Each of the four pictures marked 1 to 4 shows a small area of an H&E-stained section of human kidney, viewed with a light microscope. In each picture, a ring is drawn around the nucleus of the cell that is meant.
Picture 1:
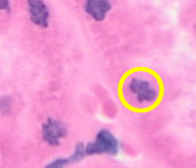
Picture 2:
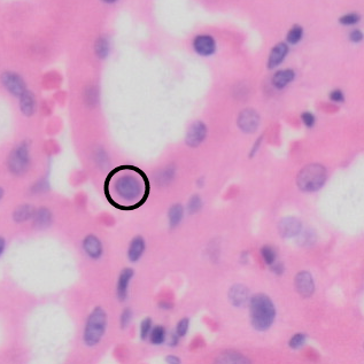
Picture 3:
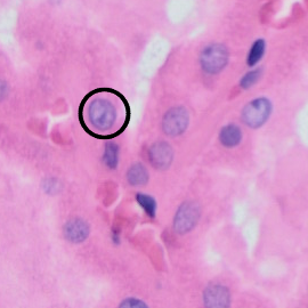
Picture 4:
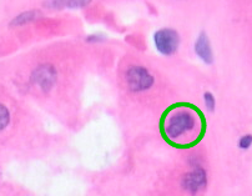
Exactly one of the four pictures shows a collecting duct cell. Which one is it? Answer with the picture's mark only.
2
